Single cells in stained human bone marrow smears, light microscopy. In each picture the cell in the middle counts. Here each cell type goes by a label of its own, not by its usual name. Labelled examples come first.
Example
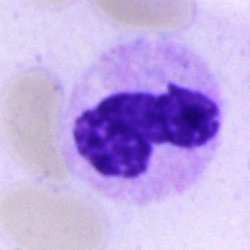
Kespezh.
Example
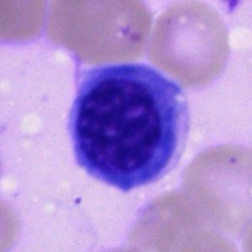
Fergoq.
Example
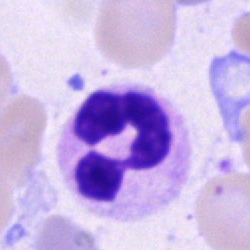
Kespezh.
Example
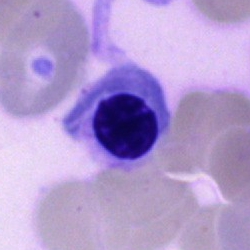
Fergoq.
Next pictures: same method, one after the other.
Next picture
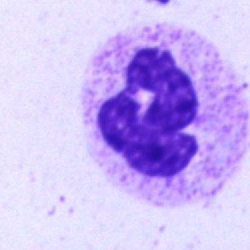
Kespezh.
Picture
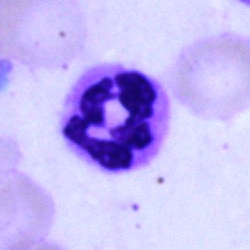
Kespezh.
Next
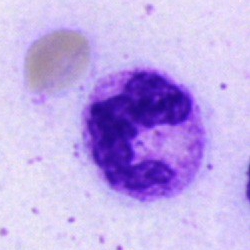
Kespezh.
